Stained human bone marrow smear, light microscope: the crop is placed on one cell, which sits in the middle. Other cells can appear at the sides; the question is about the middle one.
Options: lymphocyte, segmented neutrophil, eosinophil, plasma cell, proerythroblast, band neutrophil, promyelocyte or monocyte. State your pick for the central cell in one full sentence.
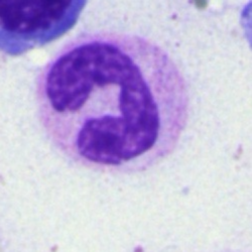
The cell shown in the center of this light-microscope crop is a band neutrophil.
